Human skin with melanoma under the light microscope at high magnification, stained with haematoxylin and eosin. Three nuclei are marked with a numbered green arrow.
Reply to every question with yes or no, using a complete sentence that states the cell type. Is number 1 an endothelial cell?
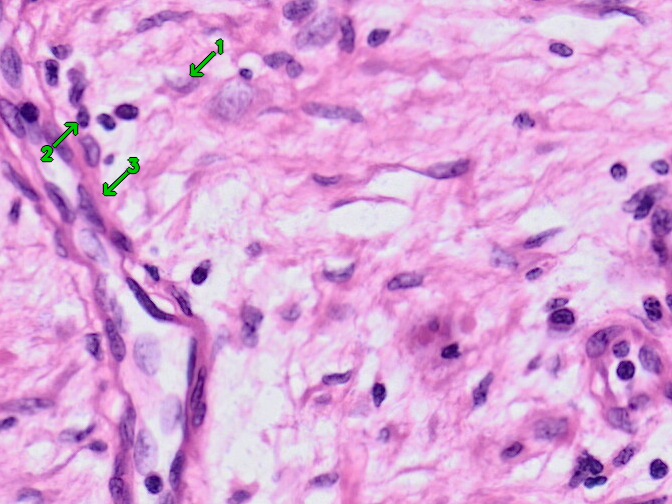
No, the right label for cell 1 is a fibroblast or myofibroblast rather than an endothelial cell.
